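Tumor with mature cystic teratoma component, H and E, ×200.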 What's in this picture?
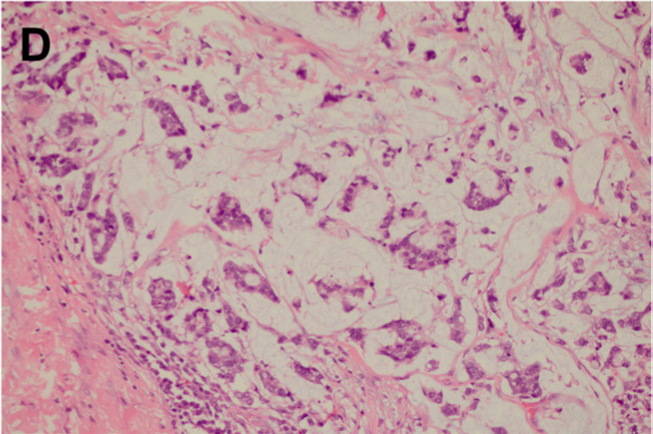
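This field shows mucinous adenocarcinoma: clusters and small gland-like groups of epithelial cells with crowded dark purple nuclei. The clusters float within large pools of pale, wispy, faintly bluish material. Thin pink fibrous septa divide the pools into compartments. Along the lower left edge lies a band of denser stroma with many small dark cells.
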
